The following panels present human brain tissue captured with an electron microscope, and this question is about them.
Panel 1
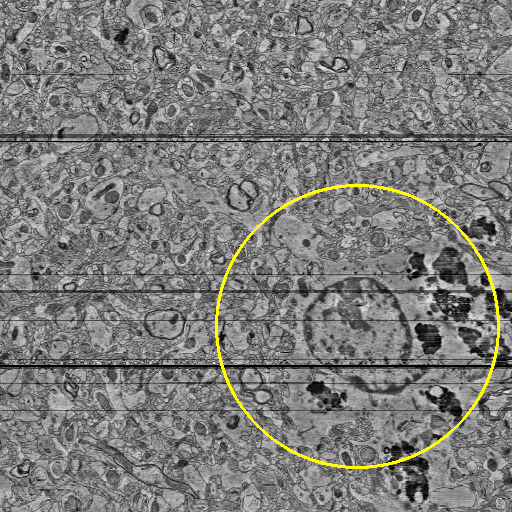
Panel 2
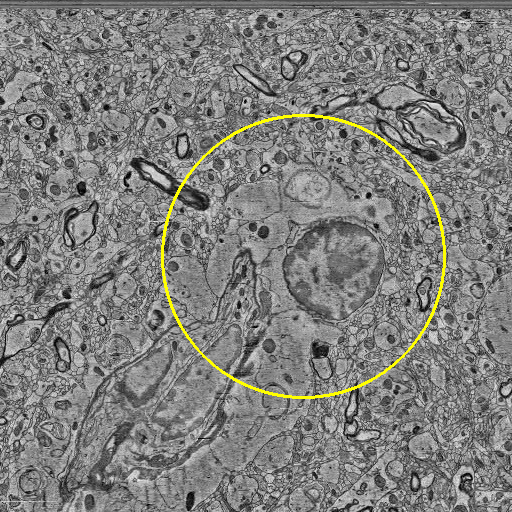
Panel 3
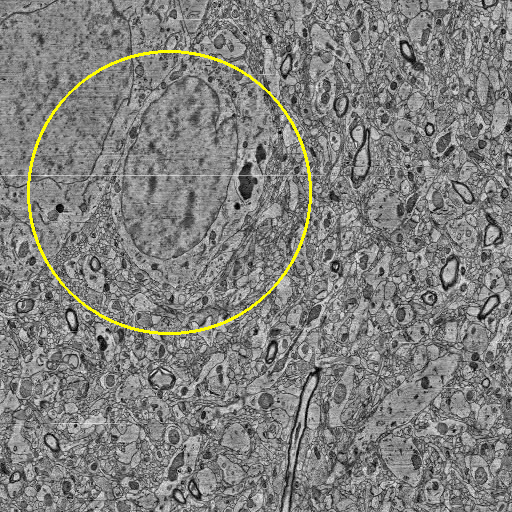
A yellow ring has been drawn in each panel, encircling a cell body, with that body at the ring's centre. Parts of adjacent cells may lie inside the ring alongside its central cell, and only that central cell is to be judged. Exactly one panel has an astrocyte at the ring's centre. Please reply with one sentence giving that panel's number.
The ring whose central cell fits the description is the one in panel 1.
